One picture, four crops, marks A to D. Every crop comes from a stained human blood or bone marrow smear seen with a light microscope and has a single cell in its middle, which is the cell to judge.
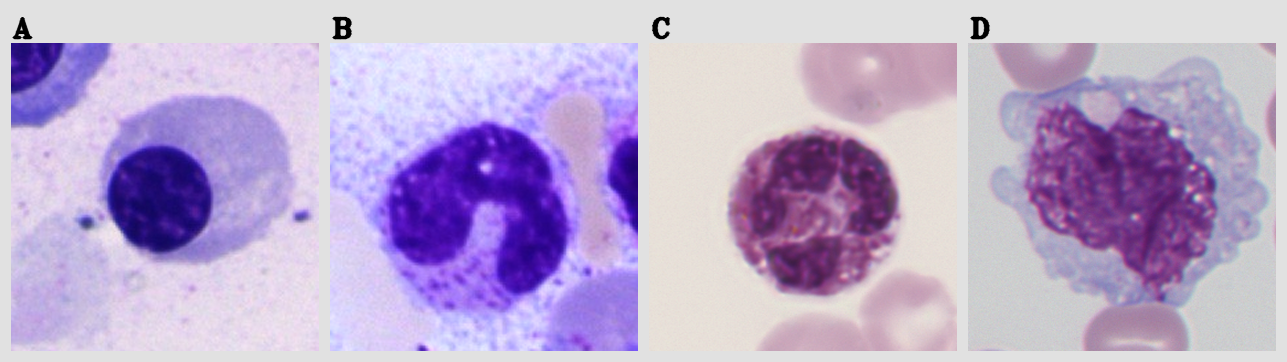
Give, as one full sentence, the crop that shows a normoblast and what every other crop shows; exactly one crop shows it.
Crop A presents a normoblast at its centre, whereas crop B is a band neutrophil, crop C is an eosinophil and crop D is a monocyte.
